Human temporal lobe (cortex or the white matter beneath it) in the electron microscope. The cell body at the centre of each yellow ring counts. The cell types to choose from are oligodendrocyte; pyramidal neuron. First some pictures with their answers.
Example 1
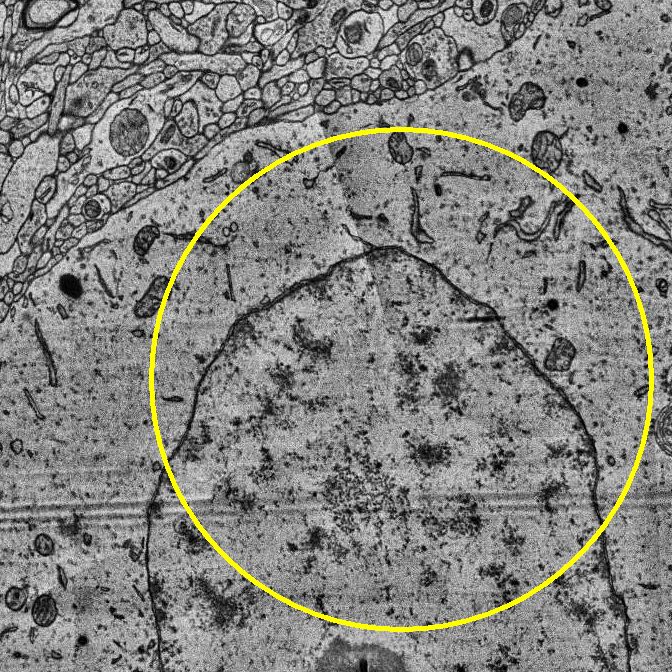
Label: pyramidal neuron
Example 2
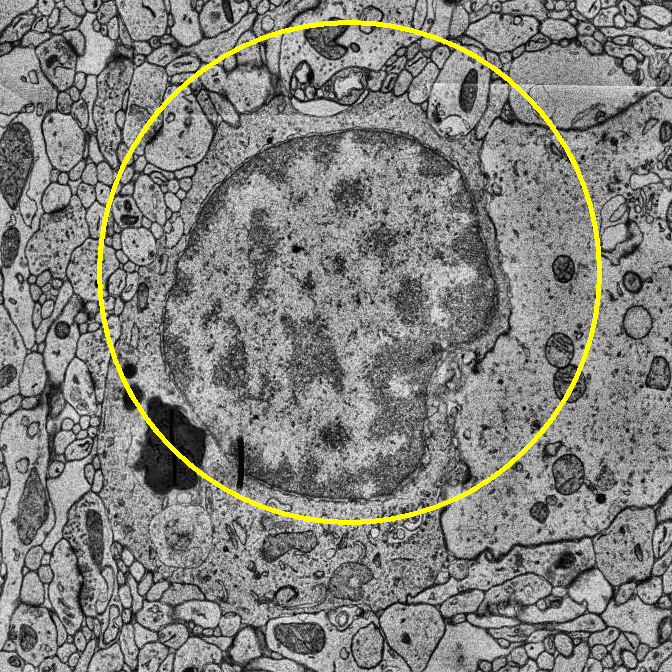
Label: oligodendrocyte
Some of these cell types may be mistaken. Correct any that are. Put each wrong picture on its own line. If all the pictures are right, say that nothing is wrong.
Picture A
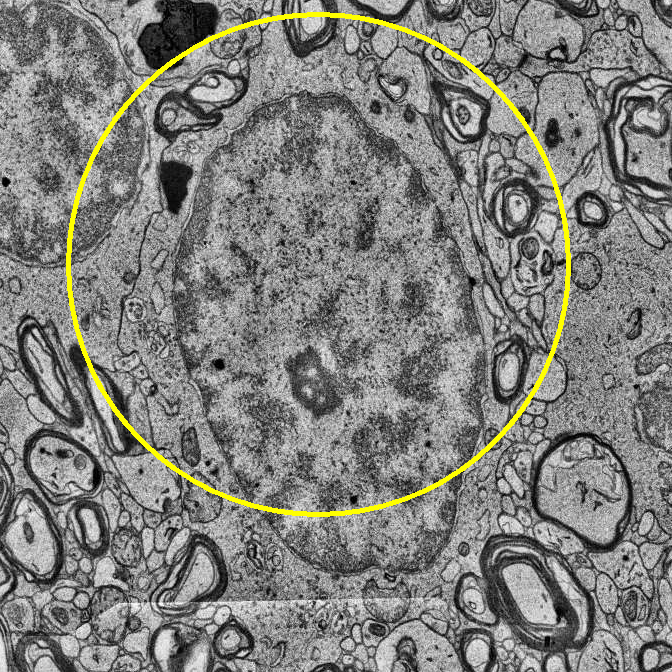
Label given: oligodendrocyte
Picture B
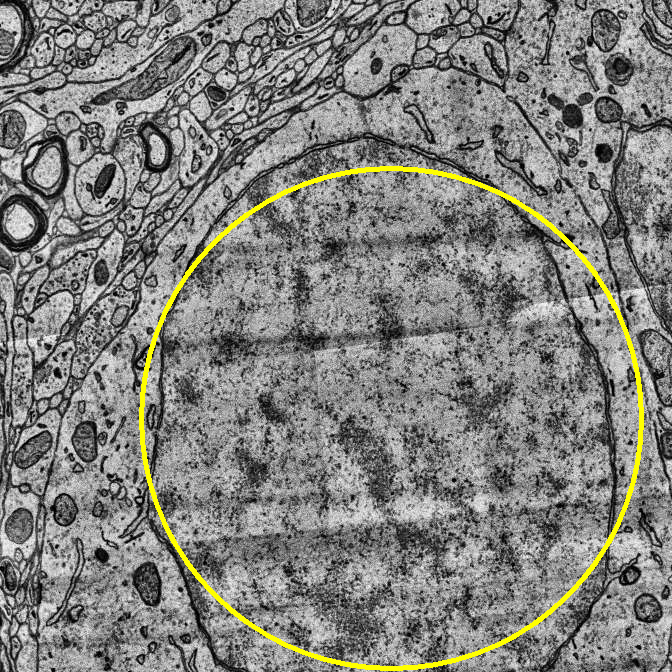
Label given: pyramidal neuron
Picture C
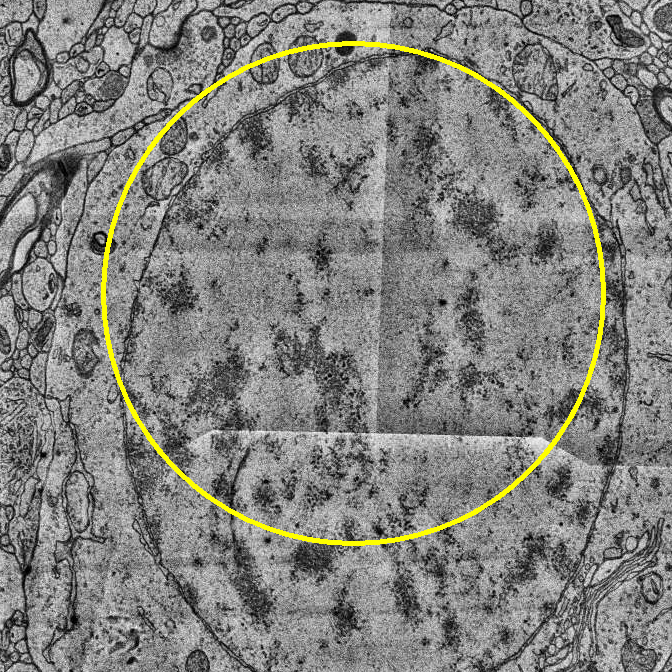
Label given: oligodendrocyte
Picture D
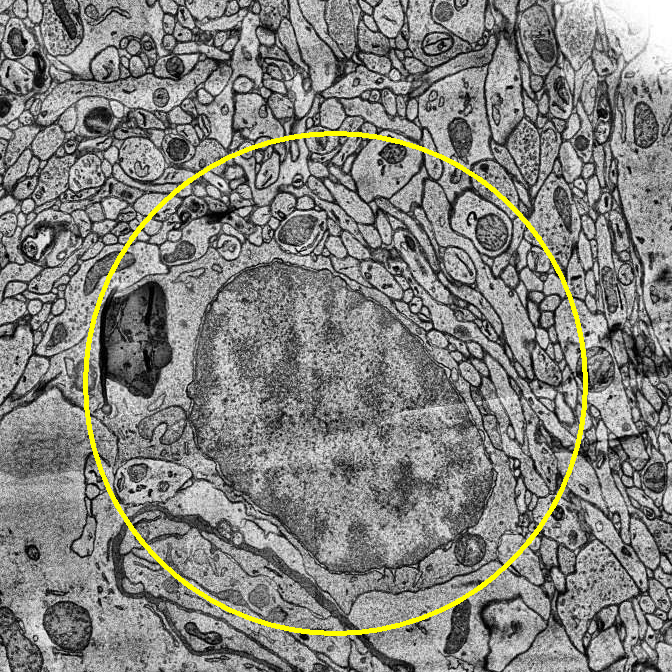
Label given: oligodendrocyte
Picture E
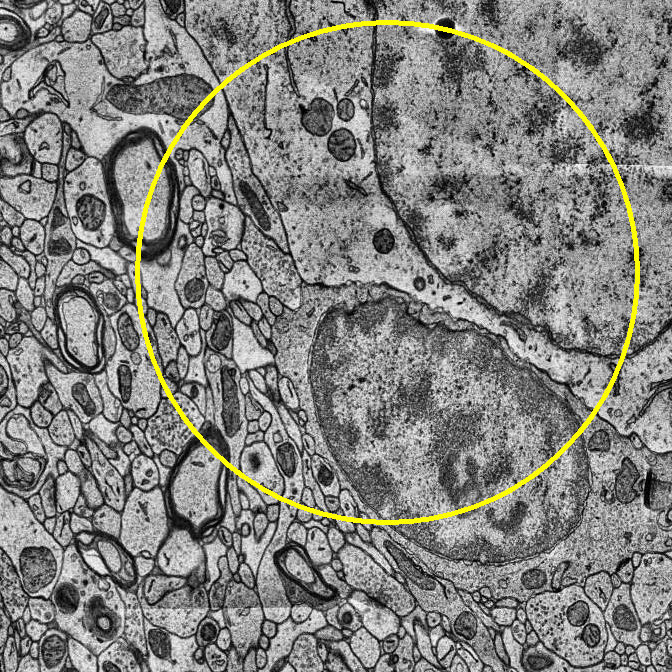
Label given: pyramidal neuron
C: pyramidal neuron, not oligodendrocyte
E: oligodendrocyte, not pyramidal neuron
